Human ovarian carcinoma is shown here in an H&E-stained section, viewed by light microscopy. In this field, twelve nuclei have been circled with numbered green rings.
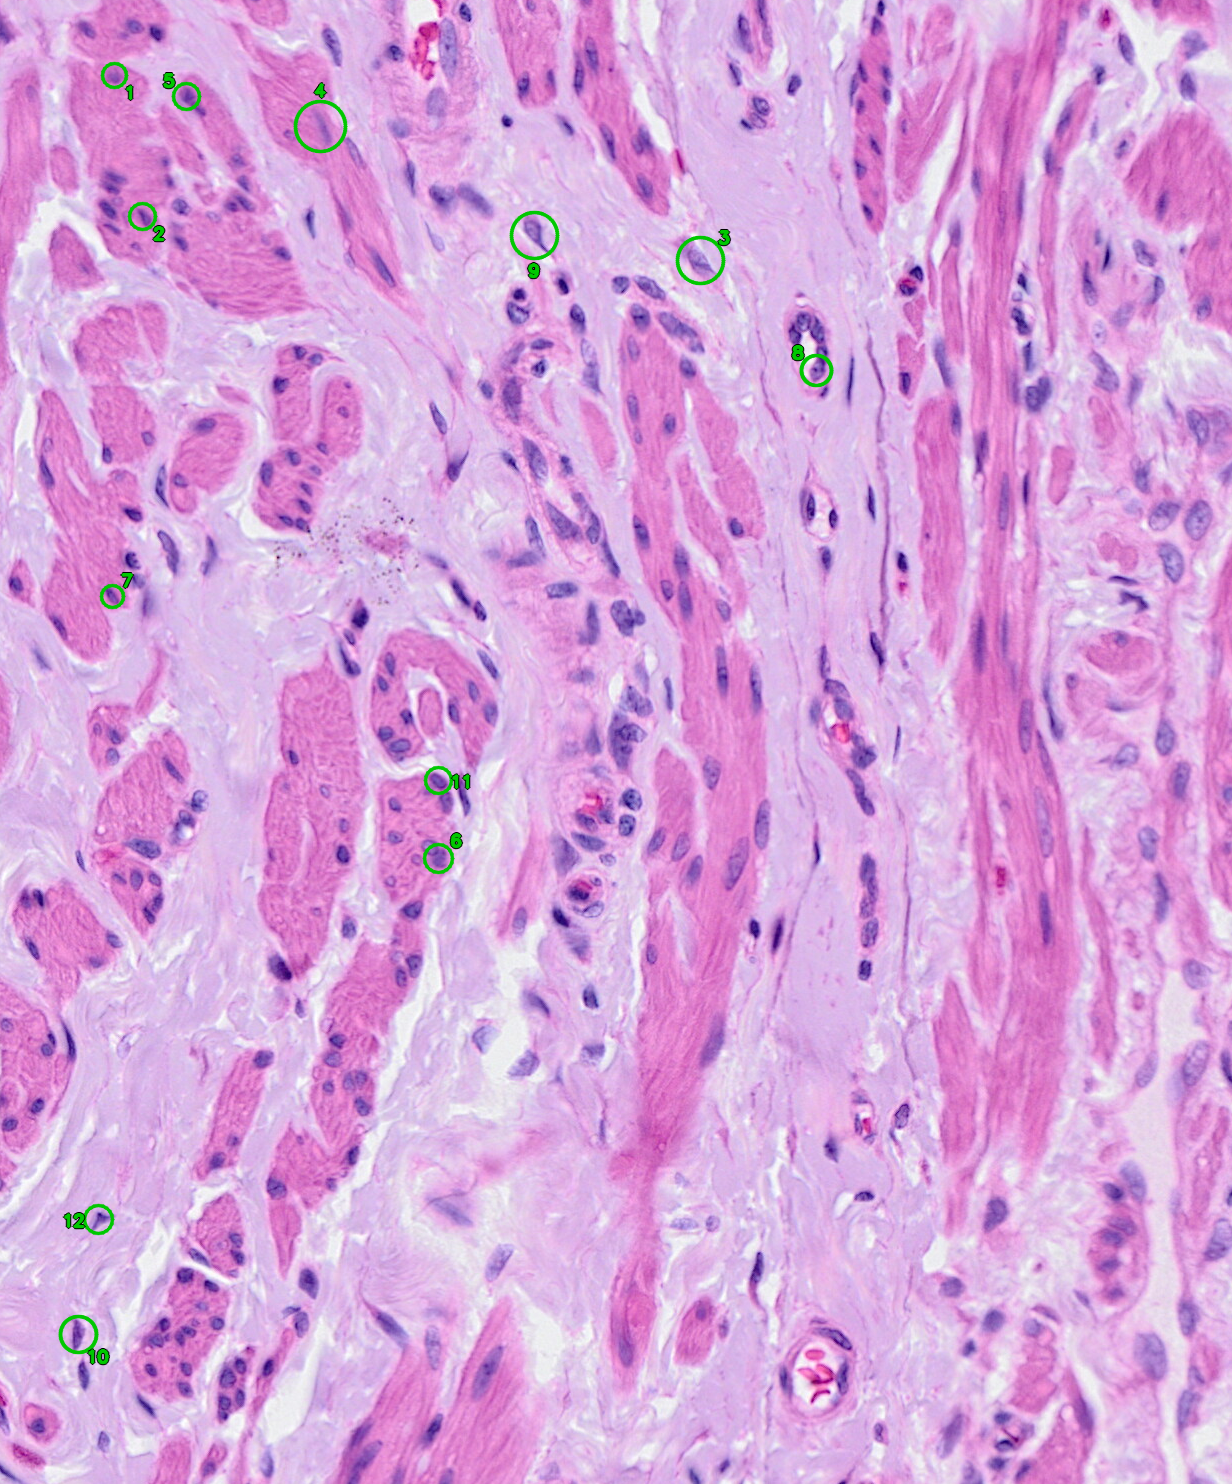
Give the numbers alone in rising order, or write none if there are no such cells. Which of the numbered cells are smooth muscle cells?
1, 2, 4, 5, 6, 7, 11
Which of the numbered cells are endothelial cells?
8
